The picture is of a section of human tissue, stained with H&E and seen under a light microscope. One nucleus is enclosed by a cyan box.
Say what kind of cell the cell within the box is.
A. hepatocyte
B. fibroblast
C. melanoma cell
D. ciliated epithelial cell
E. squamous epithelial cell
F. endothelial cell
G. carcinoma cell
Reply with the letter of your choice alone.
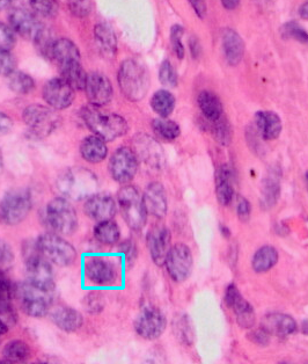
D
